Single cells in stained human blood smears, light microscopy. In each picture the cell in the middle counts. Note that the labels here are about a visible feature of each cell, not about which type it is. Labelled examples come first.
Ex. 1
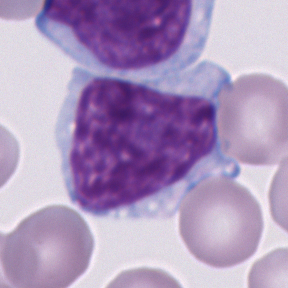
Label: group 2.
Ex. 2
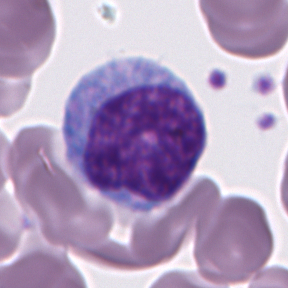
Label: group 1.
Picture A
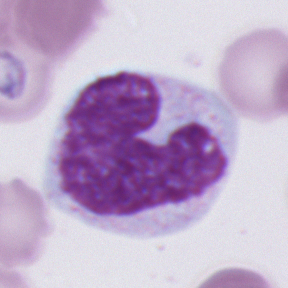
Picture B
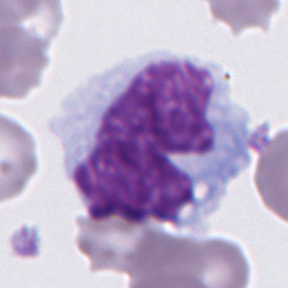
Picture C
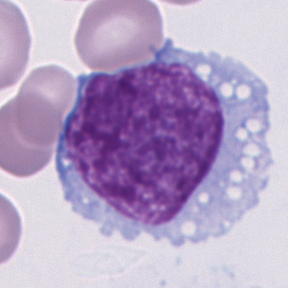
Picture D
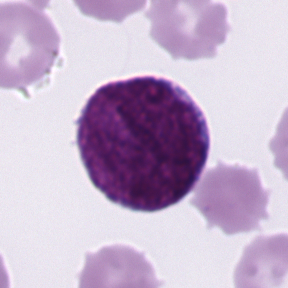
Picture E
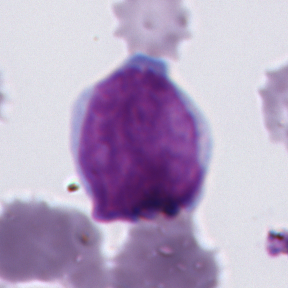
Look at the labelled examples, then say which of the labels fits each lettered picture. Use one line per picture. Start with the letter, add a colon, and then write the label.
A: group 1.
B: group 2.
C: group 2.
D: group 1.
E: group 1.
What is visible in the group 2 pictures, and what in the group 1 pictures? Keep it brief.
group 2: vacuoles present; group 1: no vacuoles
